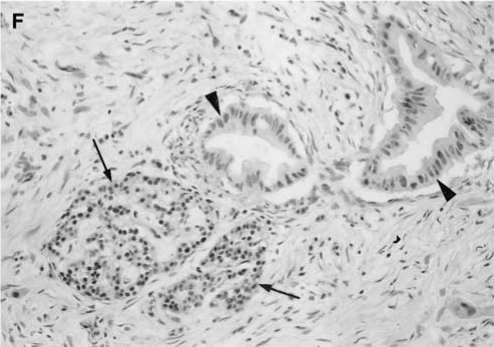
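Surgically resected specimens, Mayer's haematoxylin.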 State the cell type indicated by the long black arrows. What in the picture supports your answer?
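The arrows point to compact rounded clusters of small cells with round nuclei. The clusters have no lumen.
Hence: Islet cells.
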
